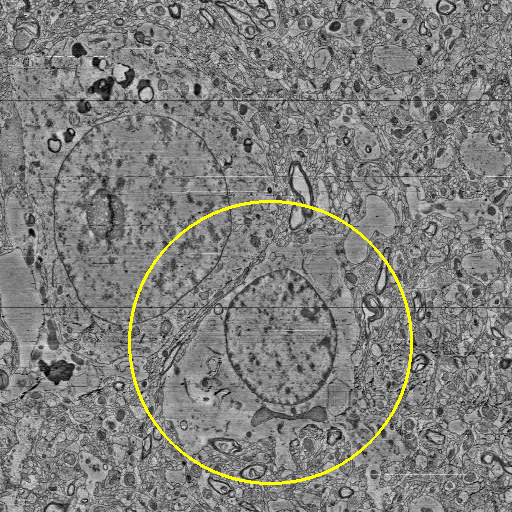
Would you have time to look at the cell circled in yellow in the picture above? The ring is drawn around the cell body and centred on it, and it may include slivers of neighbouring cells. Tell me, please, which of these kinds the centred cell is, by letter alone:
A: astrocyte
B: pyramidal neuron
A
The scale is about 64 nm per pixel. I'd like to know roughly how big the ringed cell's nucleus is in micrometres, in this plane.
Approximately 9 x 7 micrometres in this plane.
